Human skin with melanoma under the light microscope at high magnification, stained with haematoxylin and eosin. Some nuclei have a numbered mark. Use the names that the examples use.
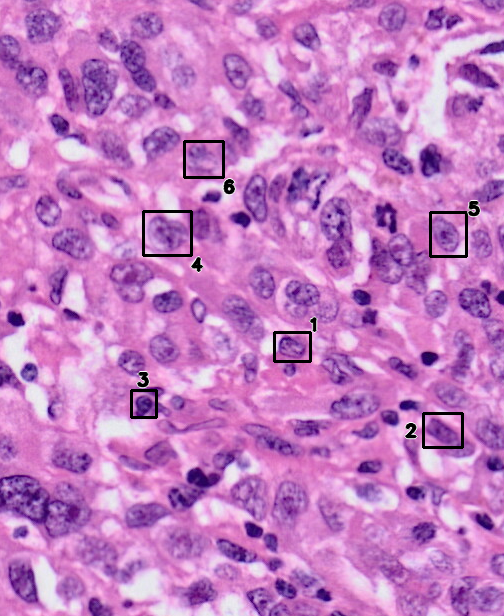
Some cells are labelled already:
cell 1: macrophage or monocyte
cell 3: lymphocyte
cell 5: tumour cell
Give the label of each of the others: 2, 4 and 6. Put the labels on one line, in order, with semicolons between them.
tumour cell; tumour cell; tumour cell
